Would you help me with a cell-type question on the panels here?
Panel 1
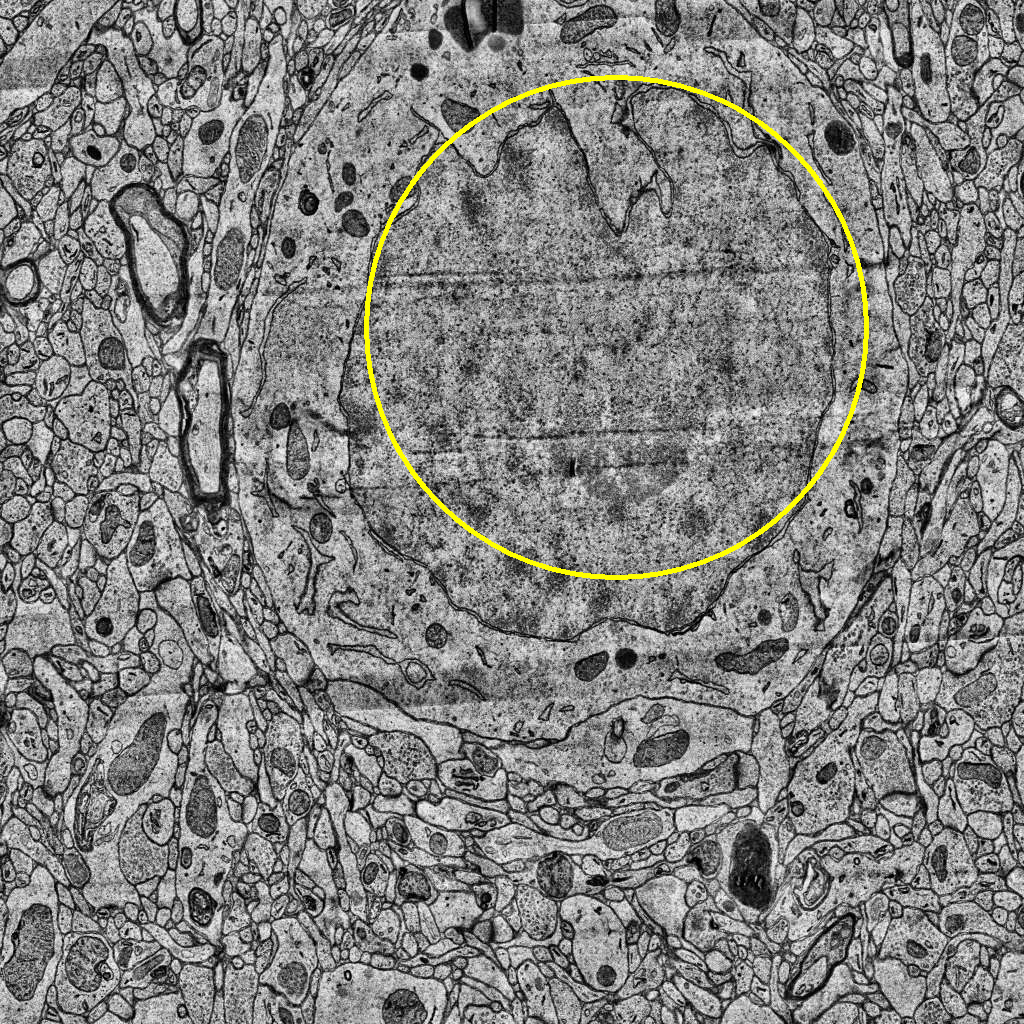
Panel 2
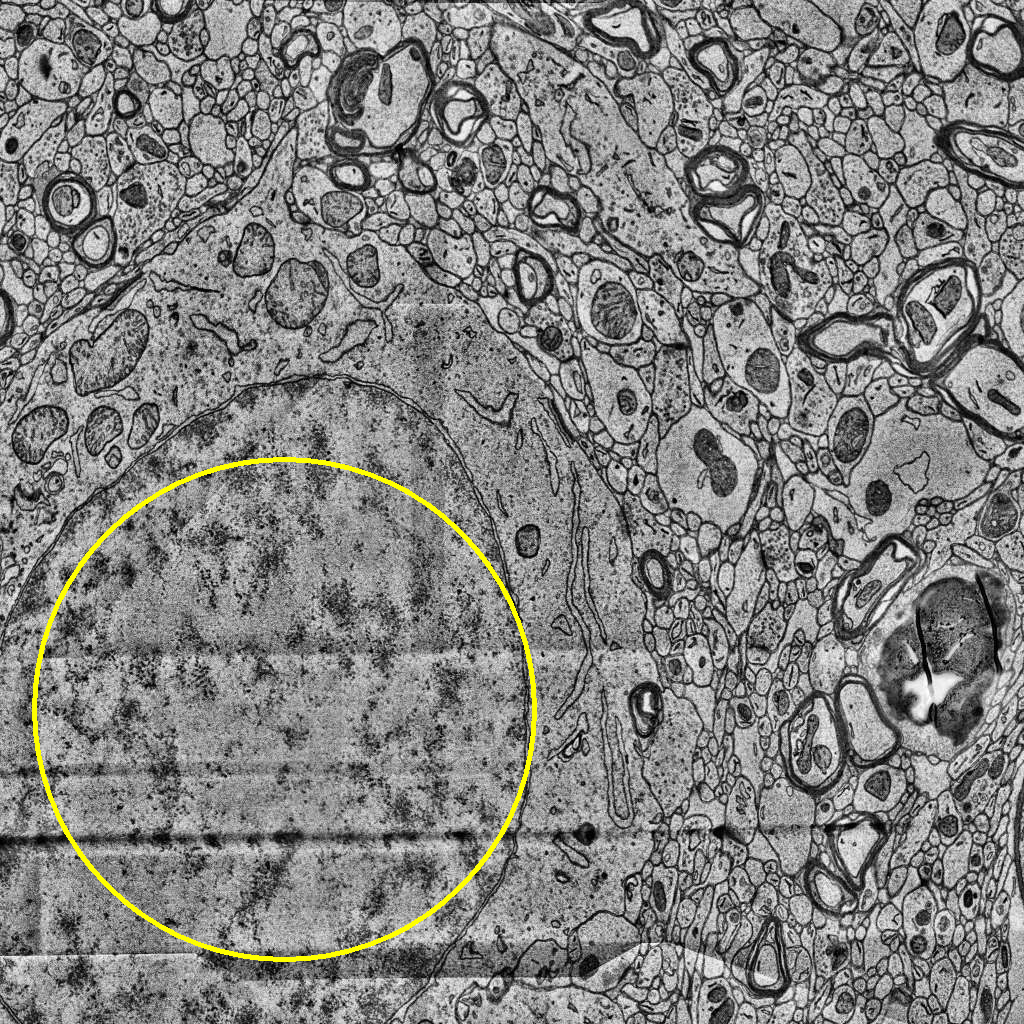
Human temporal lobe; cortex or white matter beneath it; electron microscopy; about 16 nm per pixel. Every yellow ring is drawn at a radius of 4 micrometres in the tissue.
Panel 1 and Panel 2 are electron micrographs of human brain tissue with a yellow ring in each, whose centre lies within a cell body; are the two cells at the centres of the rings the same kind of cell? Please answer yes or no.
yes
